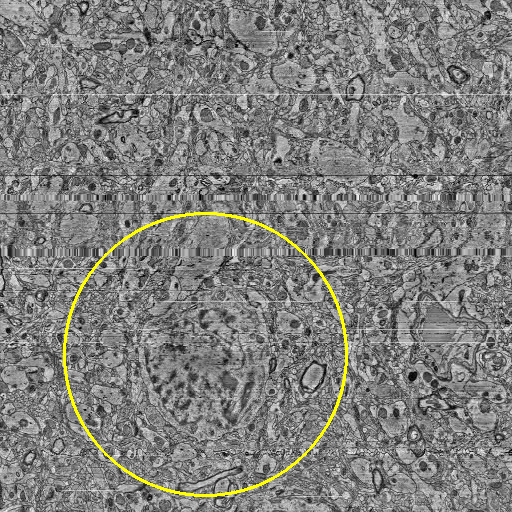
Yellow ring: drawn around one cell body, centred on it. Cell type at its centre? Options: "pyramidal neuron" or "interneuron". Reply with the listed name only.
interneuron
